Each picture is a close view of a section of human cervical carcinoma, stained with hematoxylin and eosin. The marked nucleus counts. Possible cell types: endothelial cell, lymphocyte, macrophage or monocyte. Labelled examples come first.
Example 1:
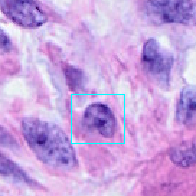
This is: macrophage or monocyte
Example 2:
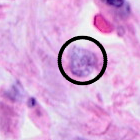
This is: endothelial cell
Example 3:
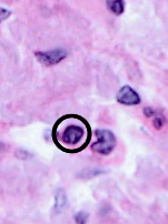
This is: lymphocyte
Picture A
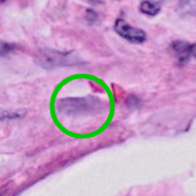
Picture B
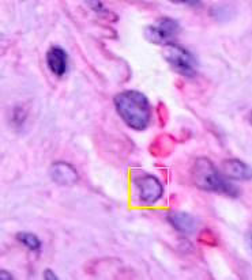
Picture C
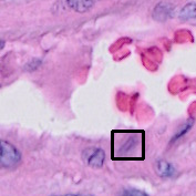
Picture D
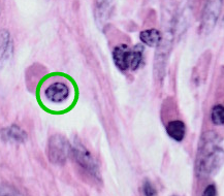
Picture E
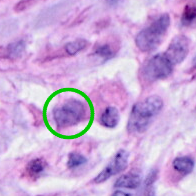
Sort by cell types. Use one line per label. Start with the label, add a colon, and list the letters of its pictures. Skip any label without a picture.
endothelial cell: A, B, C
lymphocyte: D
macrophage or monocyte: E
